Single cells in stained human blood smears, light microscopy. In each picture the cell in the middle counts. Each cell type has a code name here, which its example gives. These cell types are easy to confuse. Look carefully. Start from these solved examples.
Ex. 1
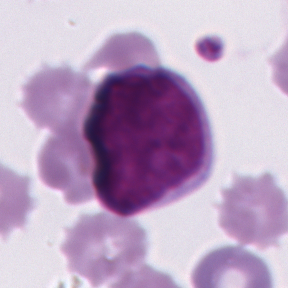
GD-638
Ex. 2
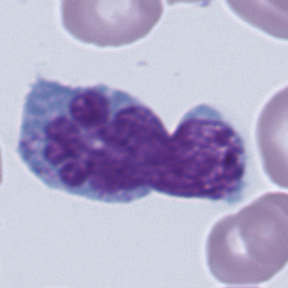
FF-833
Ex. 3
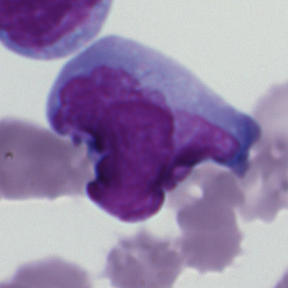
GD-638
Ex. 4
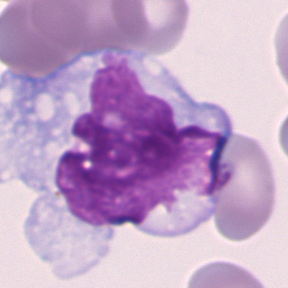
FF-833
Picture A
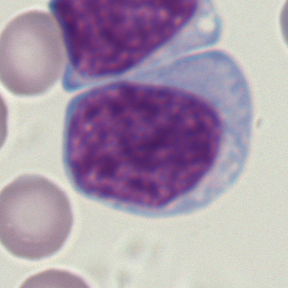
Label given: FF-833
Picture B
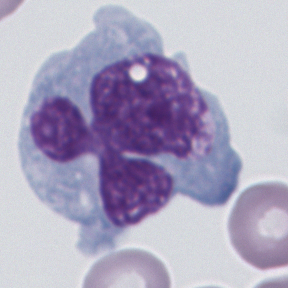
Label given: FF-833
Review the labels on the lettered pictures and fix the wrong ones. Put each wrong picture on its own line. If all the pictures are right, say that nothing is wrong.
A is labelled FF-833; correct label: GD-638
